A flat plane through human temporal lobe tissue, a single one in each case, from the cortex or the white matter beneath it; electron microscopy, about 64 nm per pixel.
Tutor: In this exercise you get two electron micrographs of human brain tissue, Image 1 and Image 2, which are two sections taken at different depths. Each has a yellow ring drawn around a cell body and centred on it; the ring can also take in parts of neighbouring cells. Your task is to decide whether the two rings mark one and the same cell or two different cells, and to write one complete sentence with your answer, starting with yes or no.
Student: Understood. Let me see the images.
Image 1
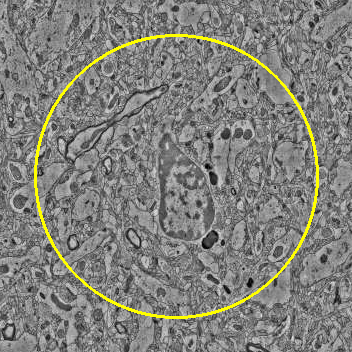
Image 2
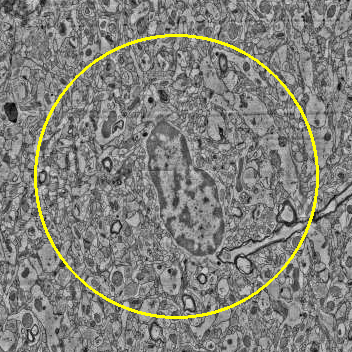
No, the rings single out two cells that are separate from each other.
